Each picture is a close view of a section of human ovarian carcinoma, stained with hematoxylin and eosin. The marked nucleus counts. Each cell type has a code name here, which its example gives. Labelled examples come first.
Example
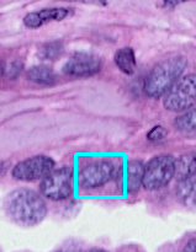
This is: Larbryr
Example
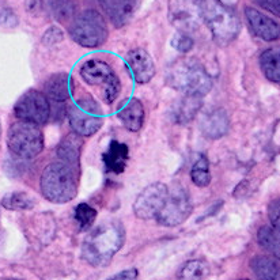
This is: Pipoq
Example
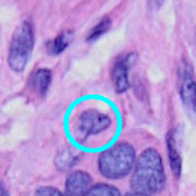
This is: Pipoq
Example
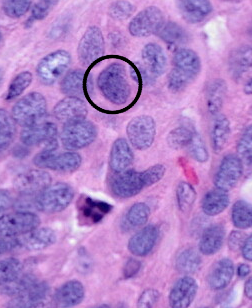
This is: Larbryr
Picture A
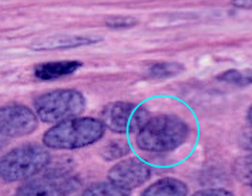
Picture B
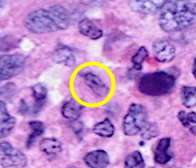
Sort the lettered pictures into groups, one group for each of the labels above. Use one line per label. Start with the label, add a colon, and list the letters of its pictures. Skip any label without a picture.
Larbryr: A
Pipoq: B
